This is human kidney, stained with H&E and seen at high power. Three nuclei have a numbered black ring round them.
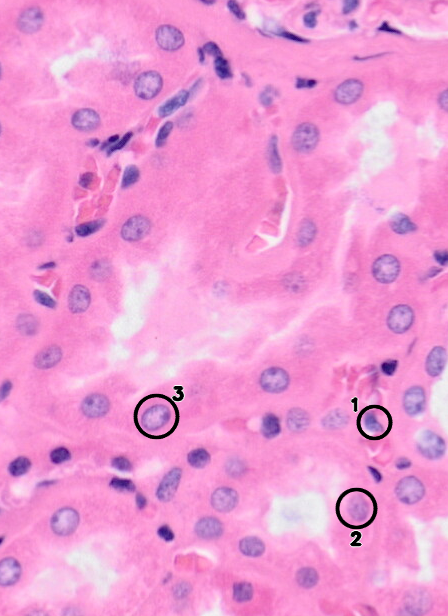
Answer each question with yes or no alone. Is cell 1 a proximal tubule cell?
no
